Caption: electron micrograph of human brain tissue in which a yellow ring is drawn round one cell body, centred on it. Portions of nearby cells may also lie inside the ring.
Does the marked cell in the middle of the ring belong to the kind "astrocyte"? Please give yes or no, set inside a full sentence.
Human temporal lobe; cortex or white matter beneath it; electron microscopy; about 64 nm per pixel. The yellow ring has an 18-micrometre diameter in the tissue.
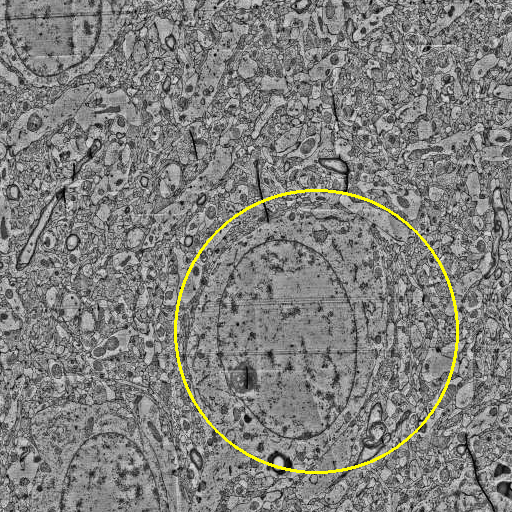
No, the marked cell that the ring is centred on in the picture is of another kind.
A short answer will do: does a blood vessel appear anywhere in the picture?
No, no vessel shows anywhere in the image.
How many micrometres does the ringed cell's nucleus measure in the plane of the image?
In this plane, approximately 13 by 9 micrometers.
